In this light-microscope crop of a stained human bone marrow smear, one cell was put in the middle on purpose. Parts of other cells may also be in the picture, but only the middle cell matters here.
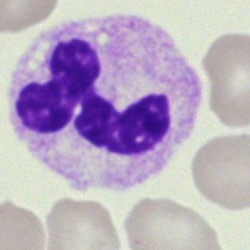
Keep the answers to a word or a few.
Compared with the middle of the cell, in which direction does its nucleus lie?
left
